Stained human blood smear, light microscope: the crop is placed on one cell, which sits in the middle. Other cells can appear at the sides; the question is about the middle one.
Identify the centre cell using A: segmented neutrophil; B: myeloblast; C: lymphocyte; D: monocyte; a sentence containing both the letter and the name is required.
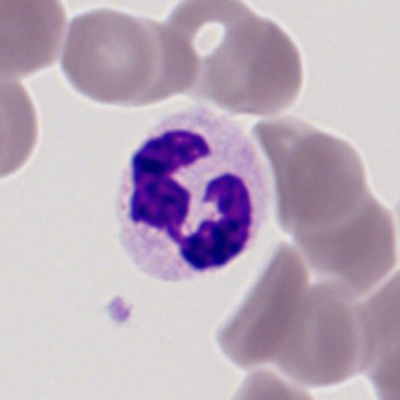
Option A is correct, naming the cell in the middle as a segmented neutrophil.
